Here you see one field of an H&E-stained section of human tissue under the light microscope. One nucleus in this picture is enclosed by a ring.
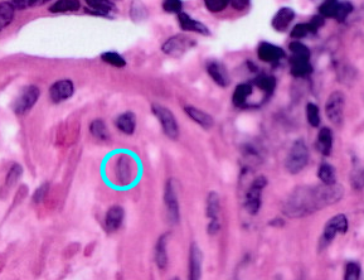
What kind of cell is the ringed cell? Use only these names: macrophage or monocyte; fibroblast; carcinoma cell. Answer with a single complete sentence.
Microscopically, the ringed cell is categorized as a fibroblast.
